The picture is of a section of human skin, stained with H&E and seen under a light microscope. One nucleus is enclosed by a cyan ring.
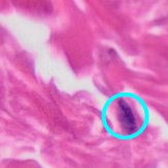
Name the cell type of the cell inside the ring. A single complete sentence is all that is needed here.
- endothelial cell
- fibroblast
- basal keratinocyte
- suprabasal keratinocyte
Within the stained tissue, the cell inside the ring is a fibroblast.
